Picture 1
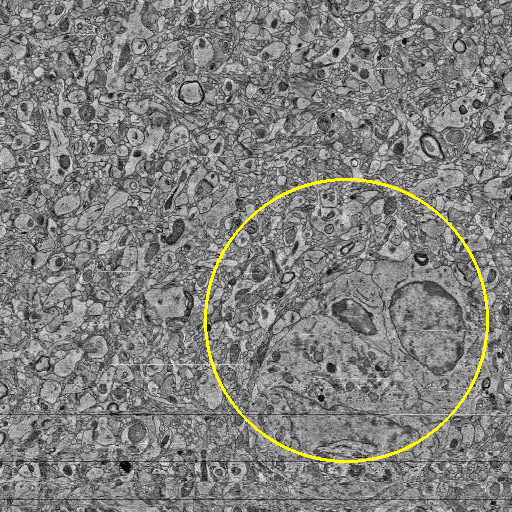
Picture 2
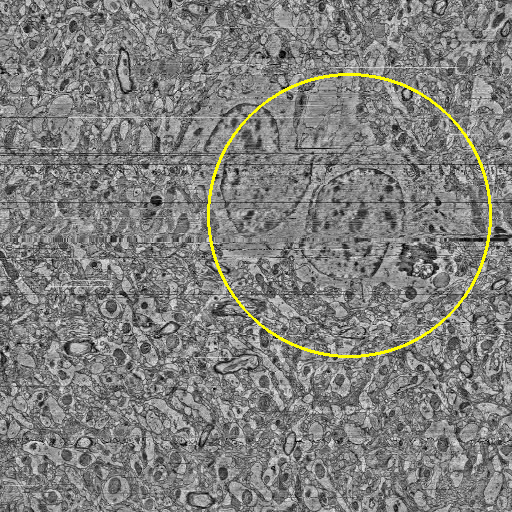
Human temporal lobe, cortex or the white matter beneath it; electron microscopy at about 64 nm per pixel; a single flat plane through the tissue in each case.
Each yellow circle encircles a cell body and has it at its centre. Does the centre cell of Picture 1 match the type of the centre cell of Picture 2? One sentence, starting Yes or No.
No, the cell centred in Picture 1 and the one in Picture 2 have separate types.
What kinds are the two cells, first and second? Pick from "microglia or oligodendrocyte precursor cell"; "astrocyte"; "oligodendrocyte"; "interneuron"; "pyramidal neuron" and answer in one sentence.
The second picture holds an astrocyte in its ring, and the first holds a microglial cell or oligodendrocyte precursor cell.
